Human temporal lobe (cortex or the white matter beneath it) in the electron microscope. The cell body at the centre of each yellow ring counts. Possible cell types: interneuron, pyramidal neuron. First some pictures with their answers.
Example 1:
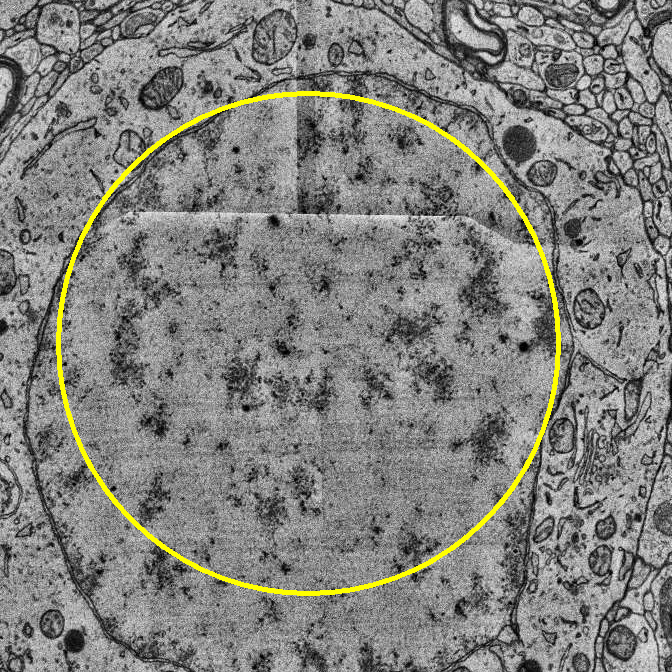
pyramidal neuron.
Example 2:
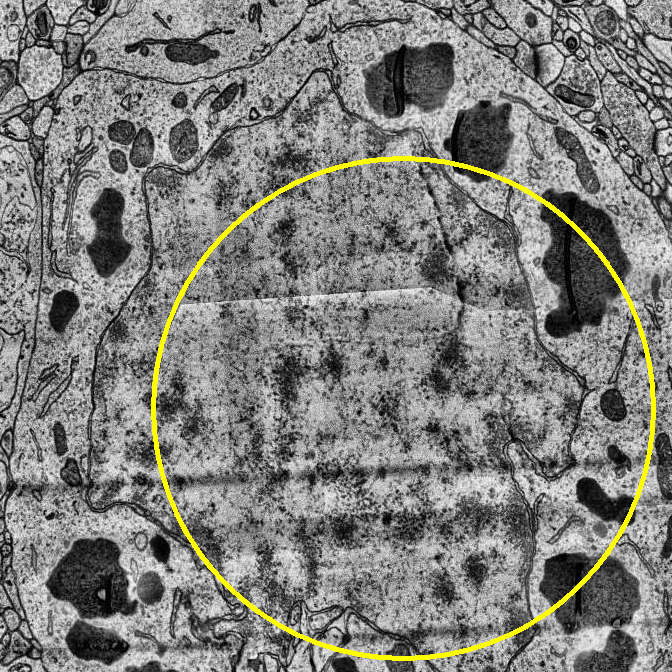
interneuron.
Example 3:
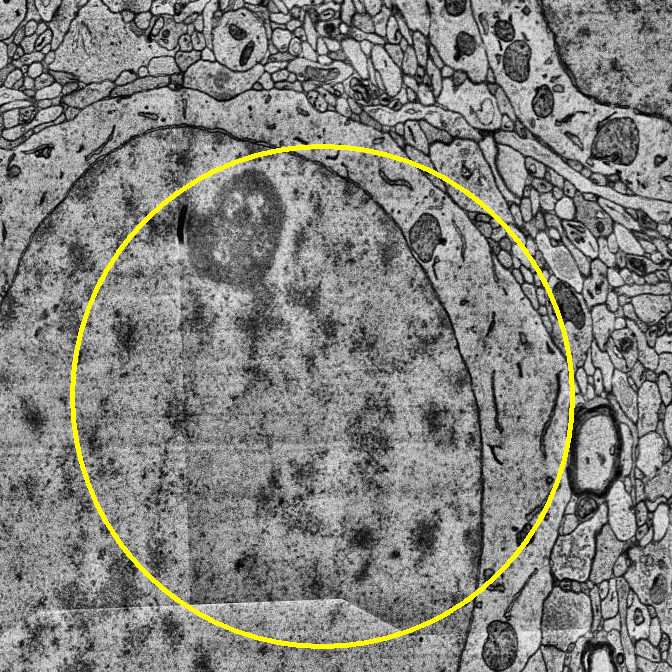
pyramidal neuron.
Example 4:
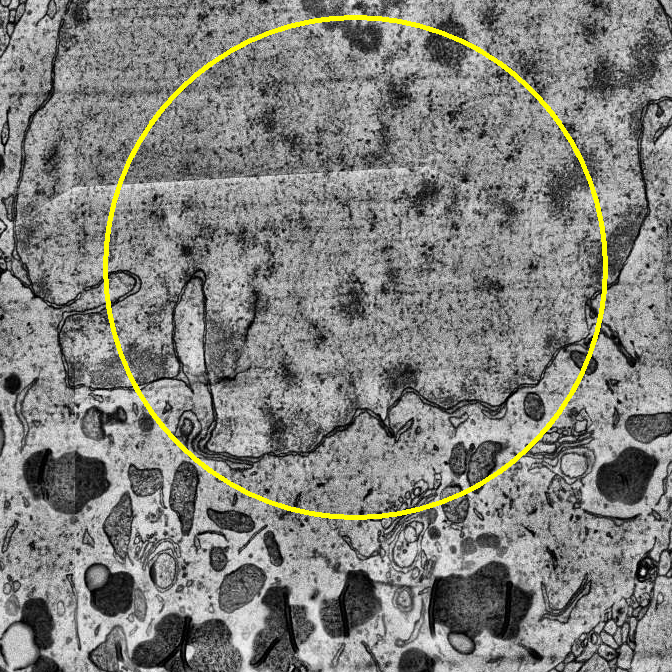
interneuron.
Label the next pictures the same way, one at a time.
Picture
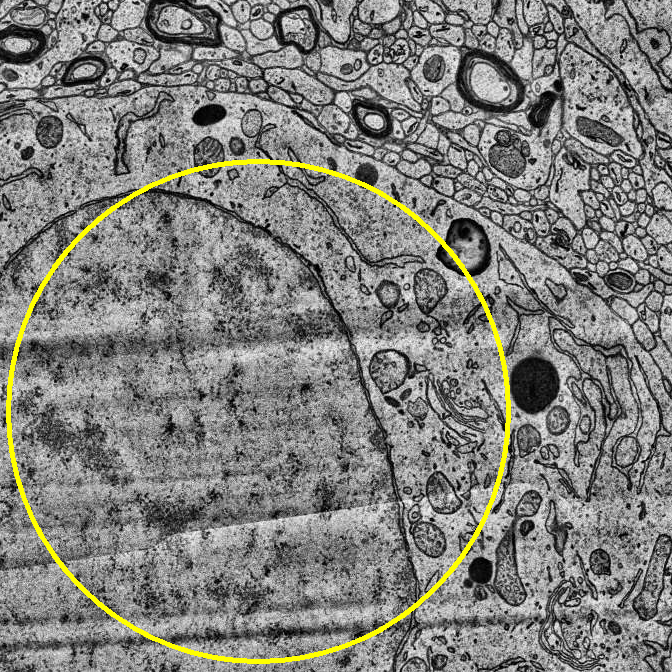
pyramidal neuron.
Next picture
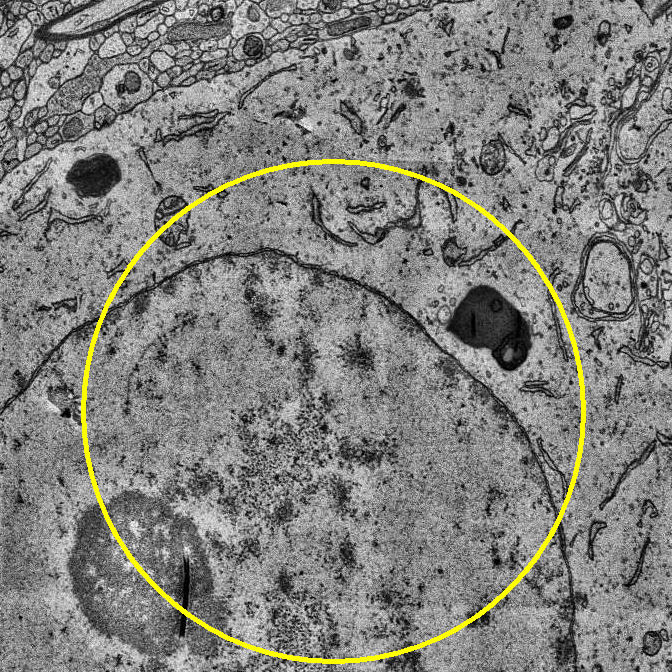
pyramidal neuron.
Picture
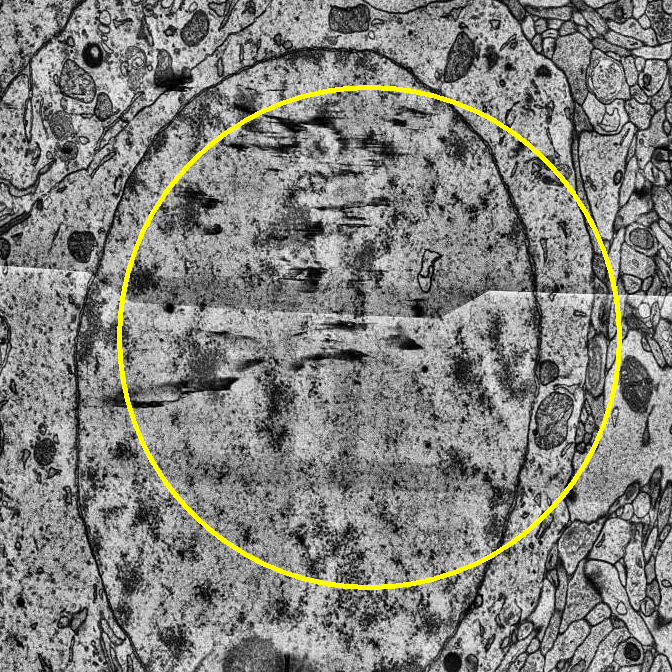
pyramidal neuron.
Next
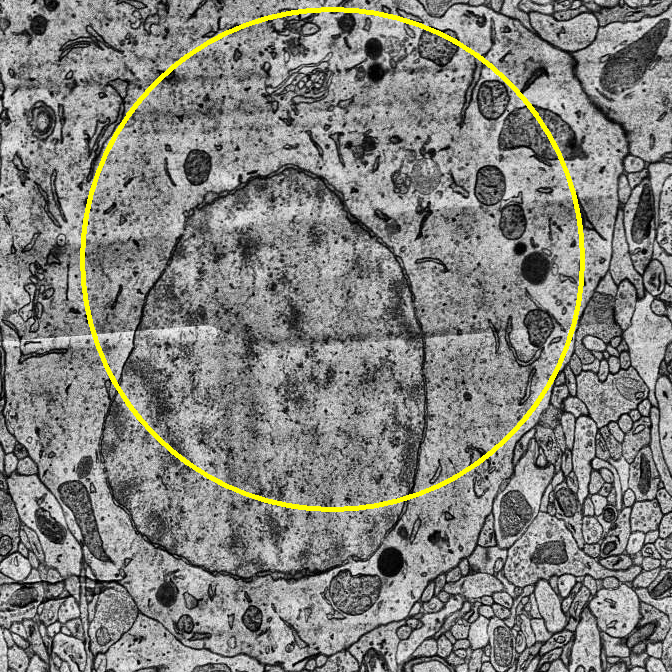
pyramidal neuron.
